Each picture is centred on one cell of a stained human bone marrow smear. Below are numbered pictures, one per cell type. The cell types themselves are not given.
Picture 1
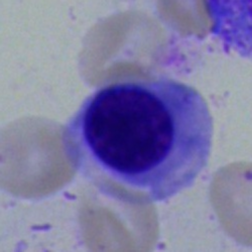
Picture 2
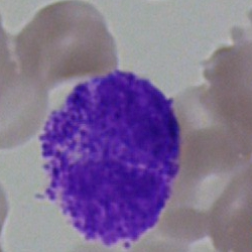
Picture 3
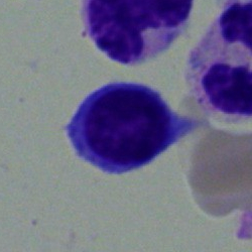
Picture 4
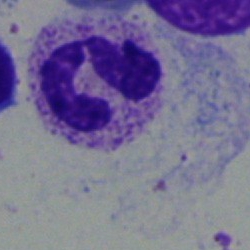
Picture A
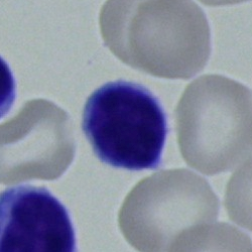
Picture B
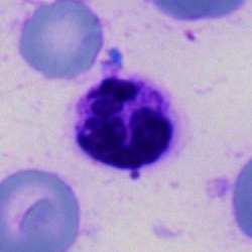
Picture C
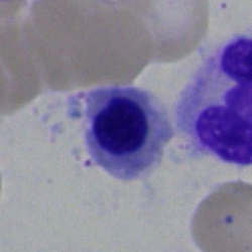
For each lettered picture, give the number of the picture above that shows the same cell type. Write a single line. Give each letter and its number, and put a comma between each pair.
A 3, B 4, C 1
